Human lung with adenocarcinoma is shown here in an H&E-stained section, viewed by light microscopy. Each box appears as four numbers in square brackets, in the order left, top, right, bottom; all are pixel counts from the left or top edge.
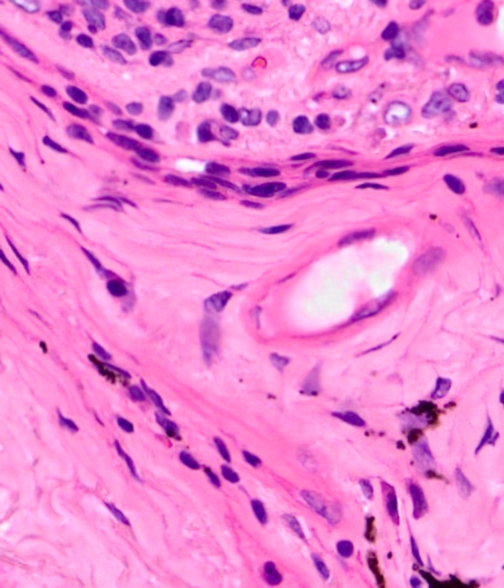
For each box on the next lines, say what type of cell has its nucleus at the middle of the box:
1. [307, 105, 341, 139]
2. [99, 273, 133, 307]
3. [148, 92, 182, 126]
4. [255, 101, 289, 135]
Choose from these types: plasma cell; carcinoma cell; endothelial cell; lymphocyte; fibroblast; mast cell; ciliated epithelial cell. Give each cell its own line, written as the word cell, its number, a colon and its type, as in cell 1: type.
cell 1: plasma cell
cell 2: plasma cell
cell 3: lymphocyte
cell 4: lymphocyte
